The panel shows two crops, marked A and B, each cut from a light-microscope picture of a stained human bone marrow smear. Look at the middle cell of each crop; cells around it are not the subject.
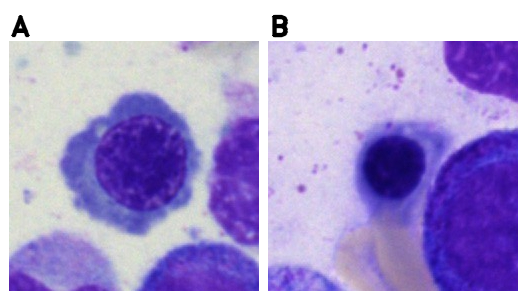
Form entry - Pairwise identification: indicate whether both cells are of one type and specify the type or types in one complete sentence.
Yes, the centred cells are erythroblasts in both crops.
